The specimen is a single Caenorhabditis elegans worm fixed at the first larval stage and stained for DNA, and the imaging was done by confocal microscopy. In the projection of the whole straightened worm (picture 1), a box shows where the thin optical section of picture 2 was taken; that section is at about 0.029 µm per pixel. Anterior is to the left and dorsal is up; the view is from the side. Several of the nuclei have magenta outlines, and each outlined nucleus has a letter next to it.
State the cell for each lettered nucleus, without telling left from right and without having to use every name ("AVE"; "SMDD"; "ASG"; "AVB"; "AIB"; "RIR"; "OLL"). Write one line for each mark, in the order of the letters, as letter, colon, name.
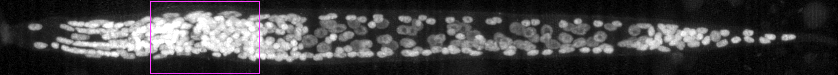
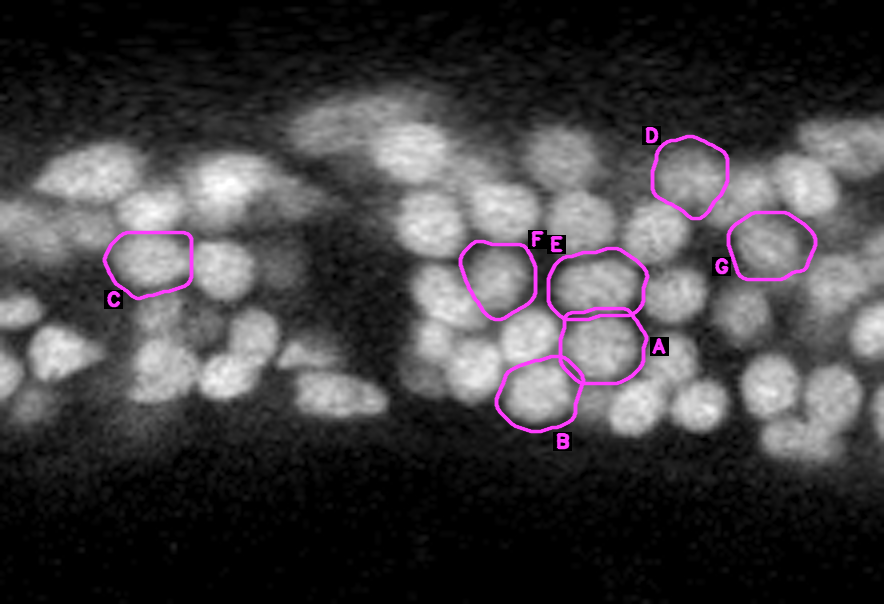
A: RIR
B: SMDD
C: OLL
D: ASG
E: AIB
F: AVE
G: AVB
